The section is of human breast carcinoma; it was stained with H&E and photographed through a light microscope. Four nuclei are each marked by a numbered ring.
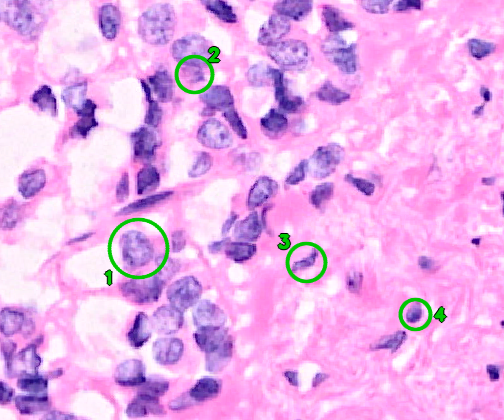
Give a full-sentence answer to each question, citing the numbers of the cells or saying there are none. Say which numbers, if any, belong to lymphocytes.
Only number 4 is a lymphocyte; none of the others are.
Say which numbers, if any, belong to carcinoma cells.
The cells identified by the numbers 1 and 2 are carcinoma cells.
